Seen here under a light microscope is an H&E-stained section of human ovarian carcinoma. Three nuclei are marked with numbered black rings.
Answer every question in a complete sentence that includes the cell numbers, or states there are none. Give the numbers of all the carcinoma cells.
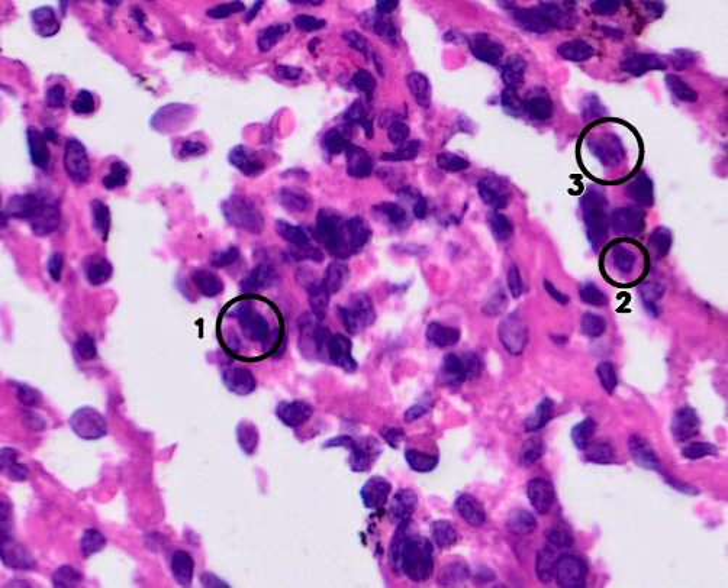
The cells bearing the numbers 1 and 3 are carcinoma cells.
